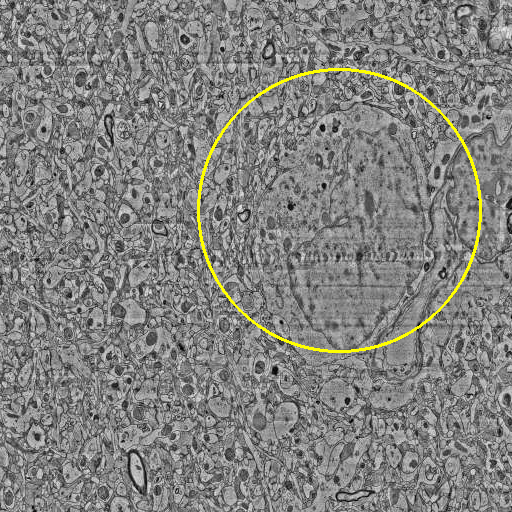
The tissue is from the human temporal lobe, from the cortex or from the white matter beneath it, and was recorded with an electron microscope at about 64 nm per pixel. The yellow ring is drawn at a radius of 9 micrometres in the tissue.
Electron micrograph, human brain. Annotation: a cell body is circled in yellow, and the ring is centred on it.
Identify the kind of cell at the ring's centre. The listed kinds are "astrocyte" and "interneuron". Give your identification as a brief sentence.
The circled cell body is that of an interneuron.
